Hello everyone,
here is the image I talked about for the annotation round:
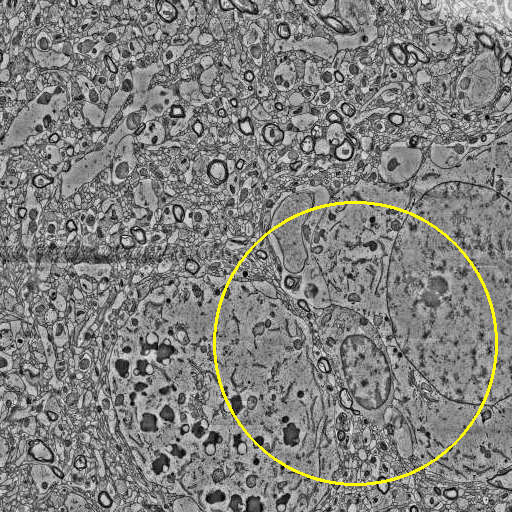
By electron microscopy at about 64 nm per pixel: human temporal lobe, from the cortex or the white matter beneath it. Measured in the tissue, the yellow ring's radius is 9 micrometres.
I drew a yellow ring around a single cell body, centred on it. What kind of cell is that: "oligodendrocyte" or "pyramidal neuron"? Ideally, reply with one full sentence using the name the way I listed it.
The cell your yellow ring is centred on is an oligodendrocyte, going by your list.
